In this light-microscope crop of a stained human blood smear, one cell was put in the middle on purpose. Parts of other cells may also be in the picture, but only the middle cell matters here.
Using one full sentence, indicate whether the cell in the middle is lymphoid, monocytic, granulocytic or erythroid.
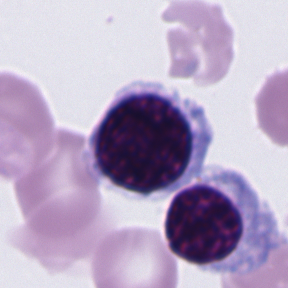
The middle cell should be classed under the erythroid lineage.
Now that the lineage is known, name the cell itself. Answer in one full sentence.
The single cell at the center of the crop is a normoblast.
